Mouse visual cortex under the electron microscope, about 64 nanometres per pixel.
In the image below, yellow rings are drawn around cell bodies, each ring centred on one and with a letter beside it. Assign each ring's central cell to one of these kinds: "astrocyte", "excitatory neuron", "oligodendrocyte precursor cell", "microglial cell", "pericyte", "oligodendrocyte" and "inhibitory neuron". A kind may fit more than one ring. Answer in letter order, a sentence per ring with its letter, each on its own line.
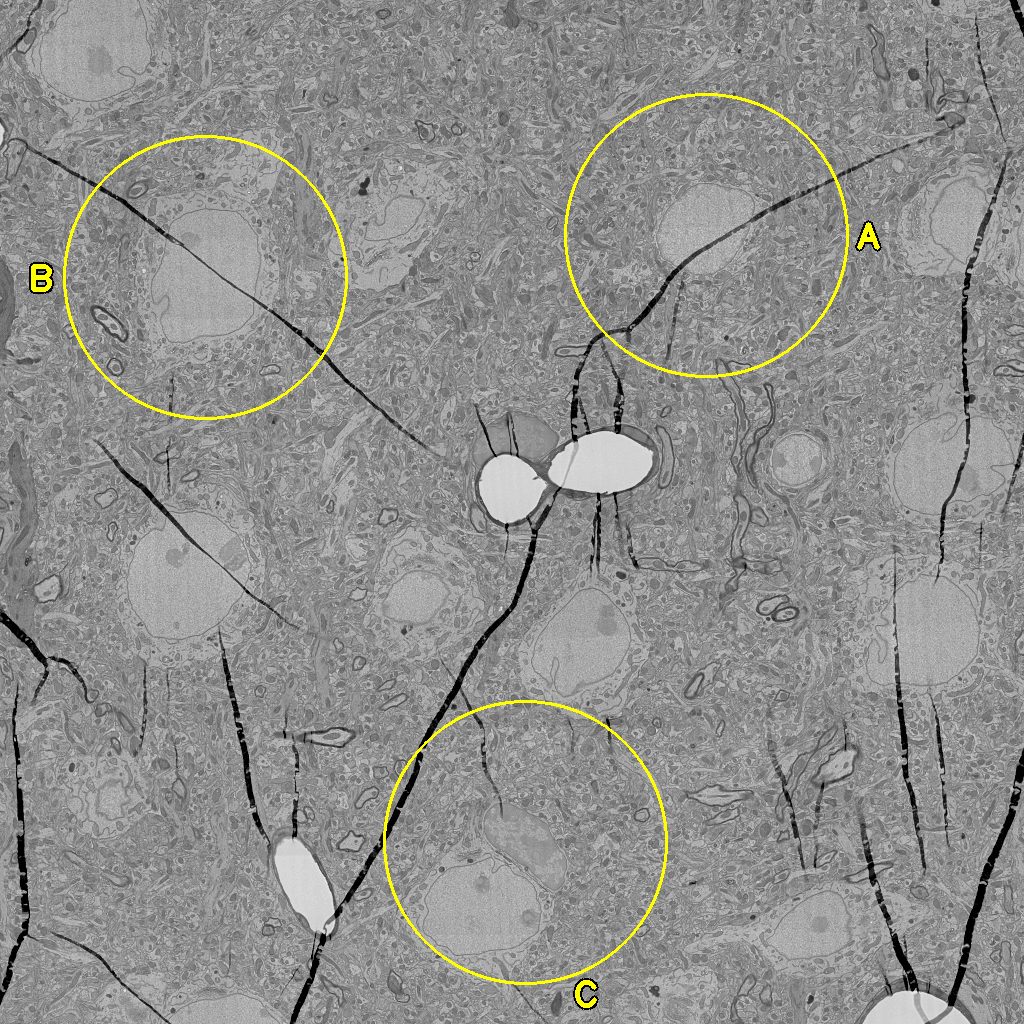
The central cell of ring A is an astrocyte.
The central cell of ring B is an excitatory neuron.
The central cell of ring C is a microglial cell.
